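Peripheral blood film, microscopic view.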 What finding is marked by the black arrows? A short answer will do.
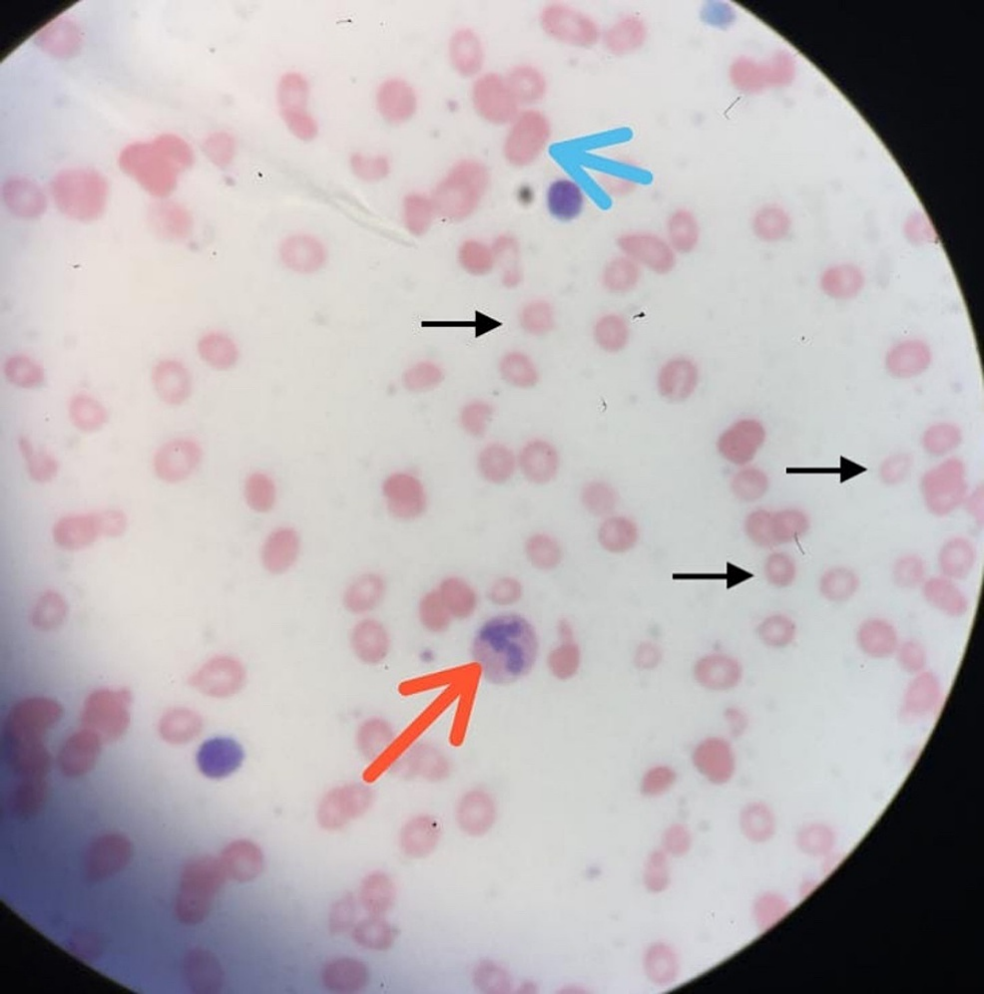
Microcytosis.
